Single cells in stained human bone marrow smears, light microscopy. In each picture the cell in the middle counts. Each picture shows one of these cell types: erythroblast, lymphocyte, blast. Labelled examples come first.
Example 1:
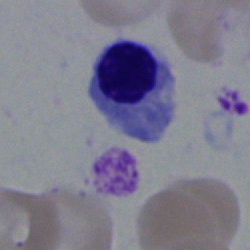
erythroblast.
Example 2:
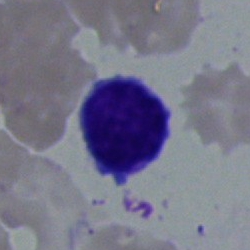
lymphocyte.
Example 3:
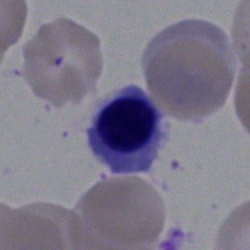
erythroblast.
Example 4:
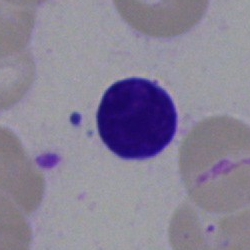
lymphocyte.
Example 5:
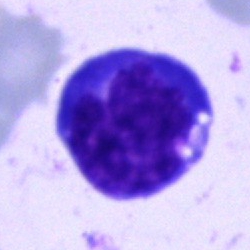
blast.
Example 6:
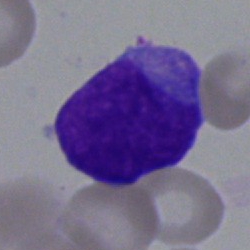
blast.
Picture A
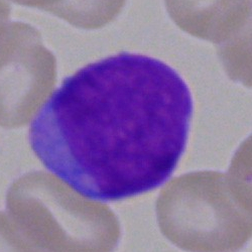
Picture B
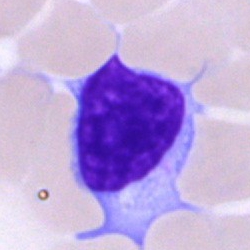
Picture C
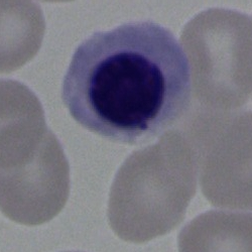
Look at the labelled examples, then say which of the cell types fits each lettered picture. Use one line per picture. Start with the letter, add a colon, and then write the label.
A: blast.
B: lymphocyte.
C: erythroblast.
